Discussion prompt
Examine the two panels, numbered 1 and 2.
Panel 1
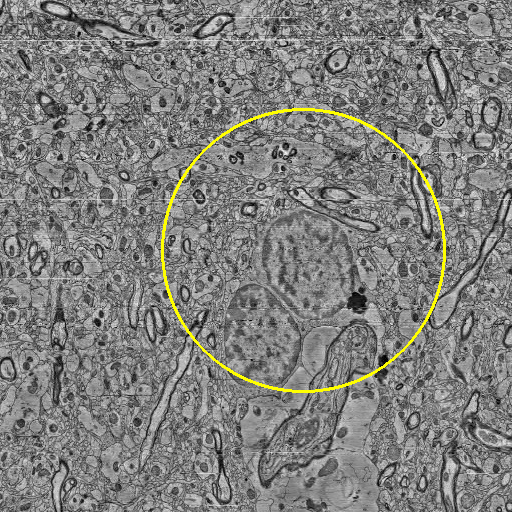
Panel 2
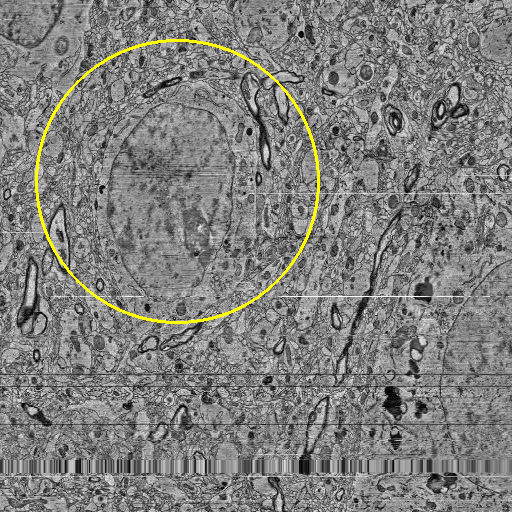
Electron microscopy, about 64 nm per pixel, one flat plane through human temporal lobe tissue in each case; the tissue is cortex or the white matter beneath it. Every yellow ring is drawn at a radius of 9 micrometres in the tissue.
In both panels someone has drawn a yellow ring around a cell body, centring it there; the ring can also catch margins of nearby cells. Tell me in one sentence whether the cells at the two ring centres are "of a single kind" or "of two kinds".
Taken together, the two cells centred in the rings of Panels 1 and 2 are of two kinds.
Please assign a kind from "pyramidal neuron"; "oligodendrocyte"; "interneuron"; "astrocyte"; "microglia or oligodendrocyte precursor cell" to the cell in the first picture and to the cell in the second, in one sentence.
In the first picture we have an oligodendrocyte, and in the second, an interneuron.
